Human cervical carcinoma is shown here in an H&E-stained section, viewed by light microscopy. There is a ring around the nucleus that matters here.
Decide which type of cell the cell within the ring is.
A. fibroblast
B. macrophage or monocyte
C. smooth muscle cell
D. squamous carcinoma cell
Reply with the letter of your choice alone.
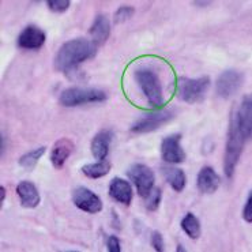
A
